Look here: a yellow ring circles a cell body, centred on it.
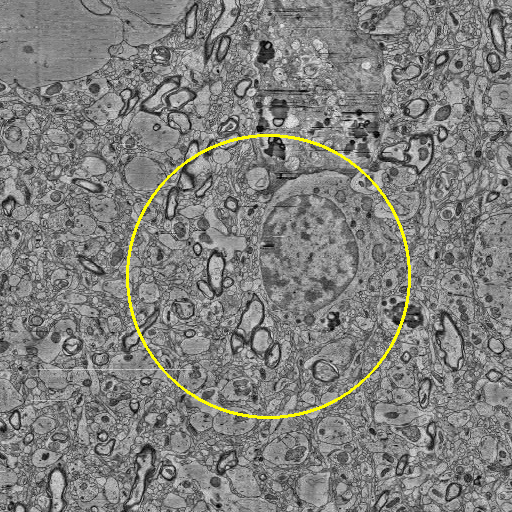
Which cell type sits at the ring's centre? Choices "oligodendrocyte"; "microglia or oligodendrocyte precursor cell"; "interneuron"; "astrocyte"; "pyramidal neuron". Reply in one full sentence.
The cell at the centre of the yellow ring in the picture is an oligodendrocyte.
